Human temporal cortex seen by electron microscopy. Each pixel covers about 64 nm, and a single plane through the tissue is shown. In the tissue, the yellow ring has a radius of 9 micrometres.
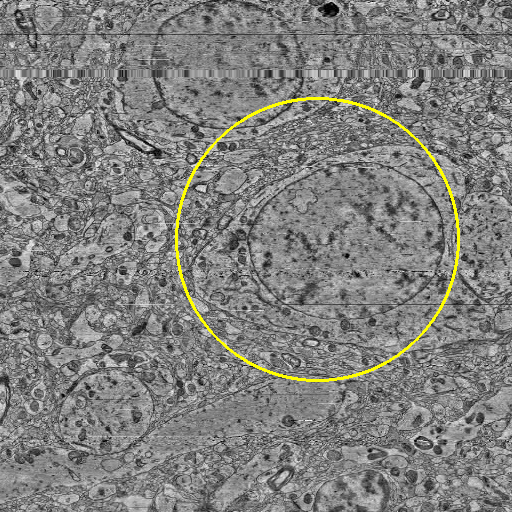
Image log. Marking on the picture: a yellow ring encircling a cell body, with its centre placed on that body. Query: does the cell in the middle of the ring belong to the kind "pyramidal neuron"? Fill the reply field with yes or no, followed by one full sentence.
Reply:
Yes, the cell at the centre of the yellow ring in this picture belongs to that kind.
